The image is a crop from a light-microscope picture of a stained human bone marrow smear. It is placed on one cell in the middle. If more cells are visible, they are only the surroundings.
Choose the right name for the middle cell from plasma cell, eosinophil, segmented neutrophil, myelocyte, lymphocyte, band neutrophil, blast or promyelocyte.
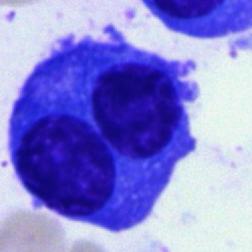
plasma cell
